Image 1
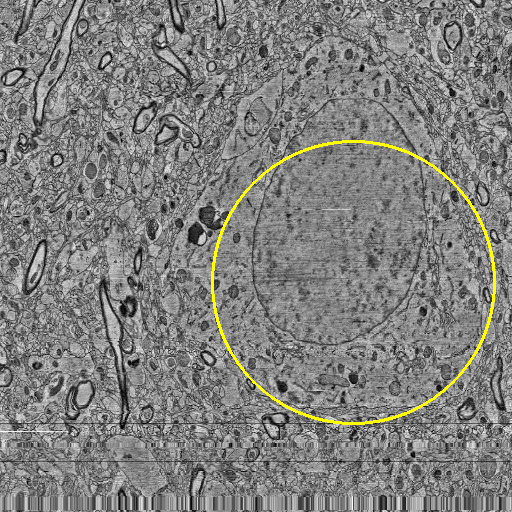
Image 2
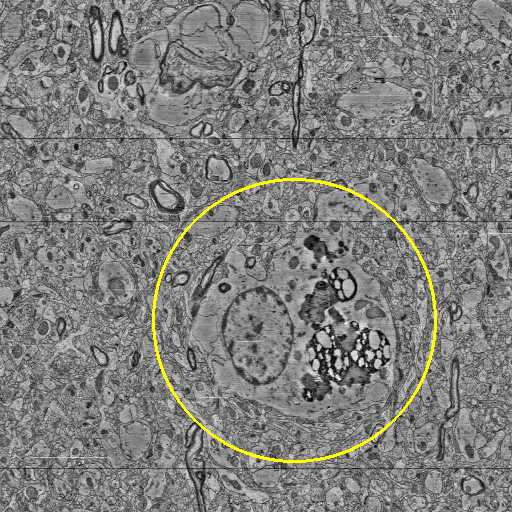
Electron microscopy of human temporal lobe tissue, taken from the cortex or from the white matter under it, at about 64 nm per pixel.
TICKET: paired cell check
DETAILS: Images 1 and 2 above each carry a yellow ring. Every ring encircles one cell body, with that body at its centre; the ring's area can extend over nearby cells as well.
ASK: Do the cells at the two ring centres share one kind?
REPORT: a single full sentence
No, the ring-centre cells of Images 1 and 2 belong to two kinds.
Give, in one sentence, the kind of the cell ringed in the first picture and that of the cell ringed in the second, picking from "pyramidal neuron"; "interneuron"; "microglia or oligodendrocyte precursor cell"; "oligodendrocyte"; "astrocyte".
For the first picture it is a pyramidal neuron; for the second, an astrocyte.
